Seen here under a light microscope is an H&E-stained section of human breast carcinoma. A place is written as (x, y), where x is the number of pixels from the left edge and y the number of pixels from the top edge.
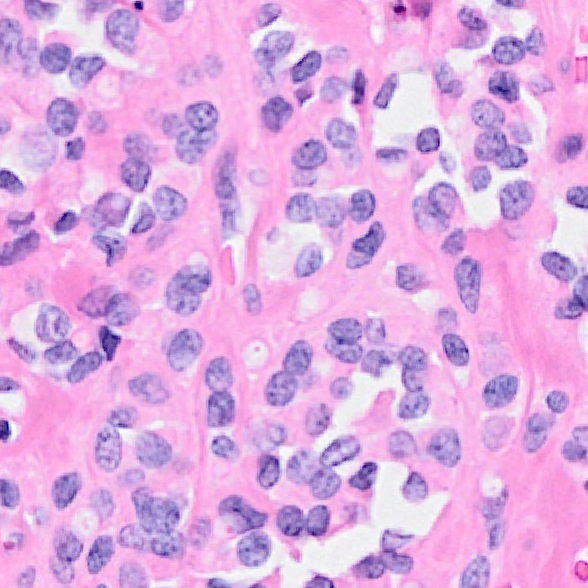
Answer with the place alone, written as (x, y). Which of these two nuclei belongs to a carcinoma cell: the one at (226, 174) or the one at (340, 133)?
(340, 133)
